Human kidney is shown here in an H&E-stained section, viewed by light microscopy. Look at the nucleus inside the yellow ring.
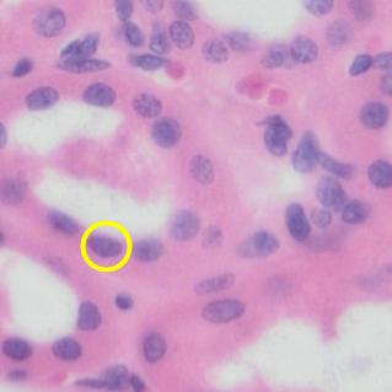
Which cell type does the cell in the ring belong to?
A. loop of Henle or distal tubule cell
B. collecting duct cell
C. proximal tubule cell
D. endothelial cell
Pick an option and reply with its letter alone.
A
